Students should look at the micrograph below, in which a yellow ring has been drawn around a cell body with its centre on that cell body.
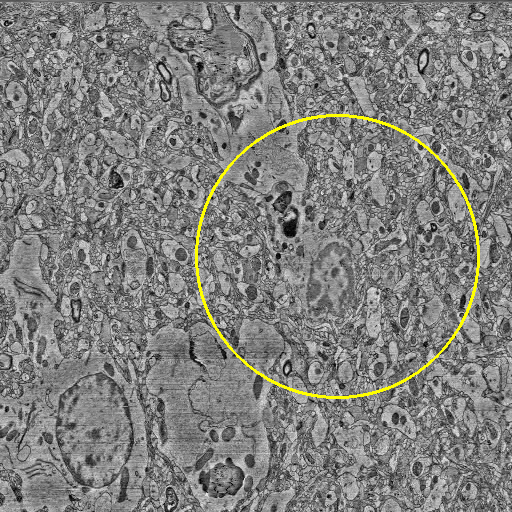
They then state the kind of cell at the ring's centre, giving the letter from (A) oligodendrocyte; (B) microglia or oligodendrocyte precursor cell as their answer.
A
